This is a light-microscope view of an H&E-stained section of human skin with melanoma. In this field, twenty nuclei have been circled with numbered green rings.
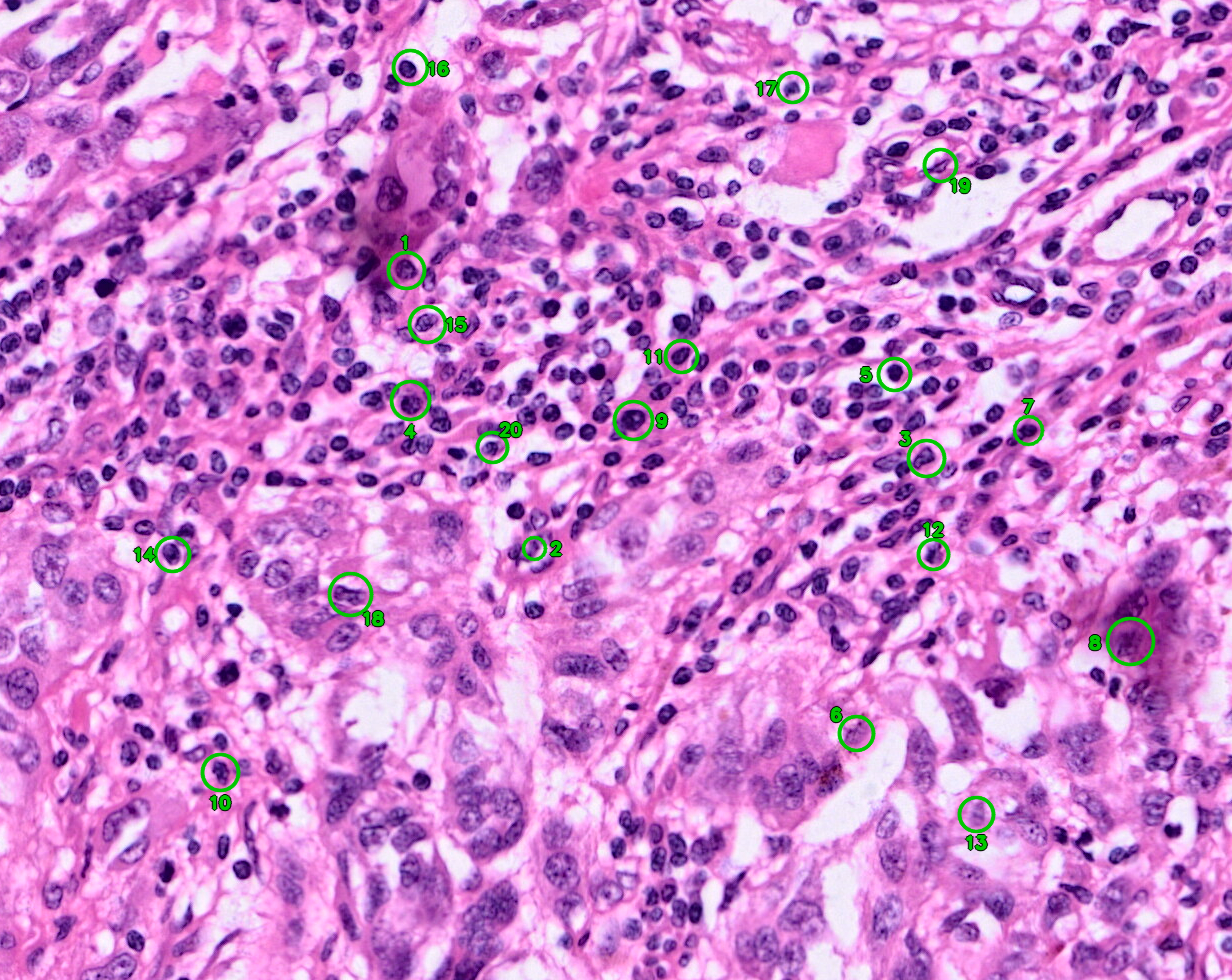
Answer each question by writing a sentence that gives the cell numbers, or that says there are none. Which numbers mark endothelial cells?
So, the cells with numbers 2 and 19 are endothelial cells.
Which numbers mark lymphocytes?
In terms of cell type, cells 1, 3, 5, 10, 12, 14, 15, 16, 17 and 20 are lymphocytes.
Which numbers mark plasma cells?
The cells carrying labels 4, 7, 9 and 11 are plasma cells.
